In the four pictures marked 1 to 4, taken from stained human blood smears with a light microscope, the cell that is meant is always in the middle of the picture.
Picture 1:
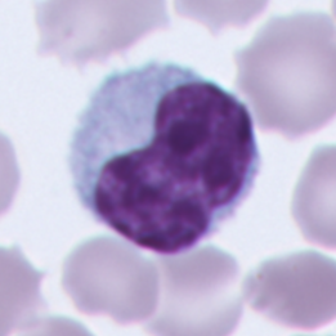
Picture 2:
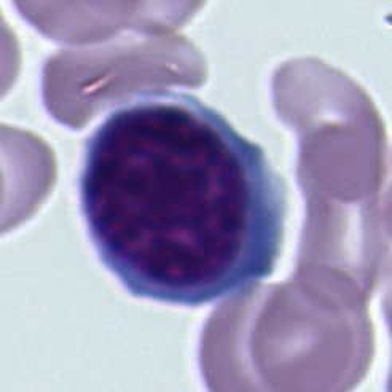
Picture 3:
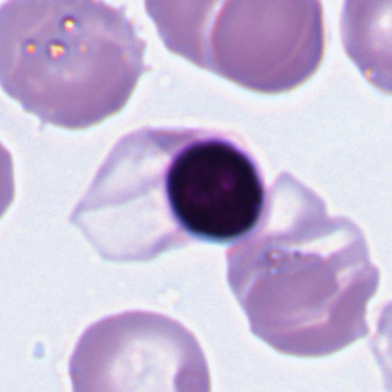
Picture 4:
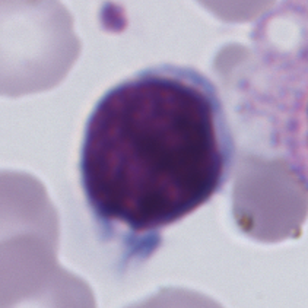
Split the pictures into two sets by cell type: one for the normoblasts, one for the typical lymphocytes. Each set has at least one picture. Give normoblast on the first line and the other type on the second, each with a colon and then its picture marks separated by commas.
normoblast: 2, 3
typical lymphocyte: 1, 4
